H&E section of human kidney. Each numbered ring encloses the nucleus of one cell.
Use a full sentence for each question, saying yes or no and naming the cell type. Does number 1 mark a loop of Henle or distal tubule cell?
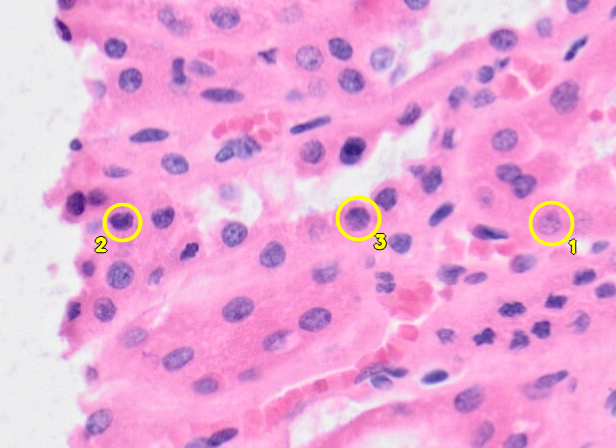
No, the cell under number 1 is a proximal tubule cell instead of a loop of Henle or distal tubule cell.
